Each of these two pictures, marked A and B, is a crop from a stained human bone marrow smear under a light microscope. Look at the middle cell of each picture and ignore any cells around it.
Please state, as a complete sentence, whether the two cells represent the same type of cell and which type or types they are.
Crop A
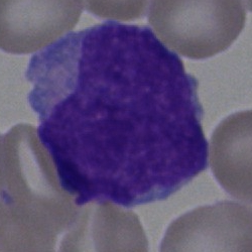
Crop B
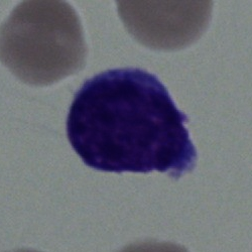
No: a blast sits in crop A, and a lymphocyte sits in crop B.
